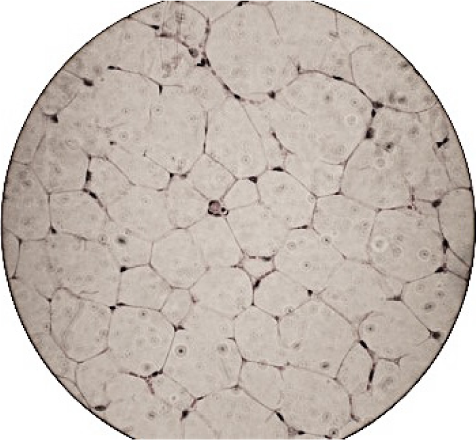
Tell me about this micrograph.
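A sheet of large, closely packed cells with pale, nearly empty interiors fills the field, each bounded by a thin pink-purple rim, so that together they form a honeycomb-like mesh. The cells are rounded to polygonal and differ somewhat from one another in size. Small dark purple nuclei are few and lie pressed against the cell rims or in the small triangular spaces where several cells meet.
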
